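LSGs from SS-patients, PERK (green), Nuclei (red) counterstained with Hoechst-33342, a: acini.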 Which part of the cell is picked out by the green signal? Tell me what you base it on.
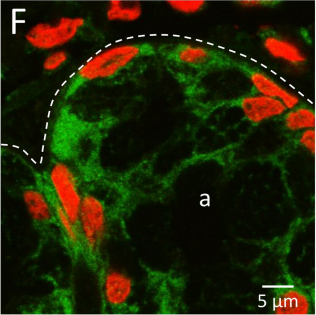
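Green fills the cytoplasm around and beneath the basally placed red nuclei along the dashed outline. Green thins out towards the dark center of the cluster.
Hence: basolateral cytoplasm.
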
